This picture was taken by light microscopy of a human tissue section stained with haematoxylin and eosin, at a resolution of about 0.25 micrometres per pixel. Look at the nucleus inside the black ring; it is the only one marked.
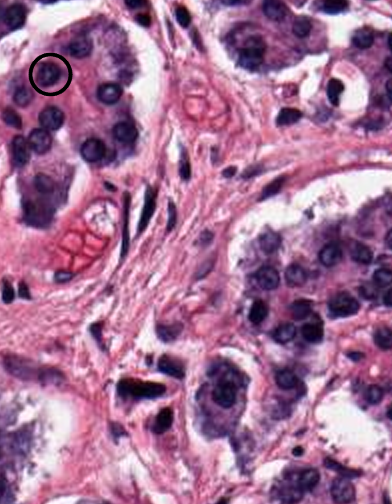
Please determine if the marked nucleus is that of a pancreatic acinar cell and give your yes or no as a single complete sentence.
Yes, the nucleus singled out in the image belongs to a pancreatic acinar cell.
